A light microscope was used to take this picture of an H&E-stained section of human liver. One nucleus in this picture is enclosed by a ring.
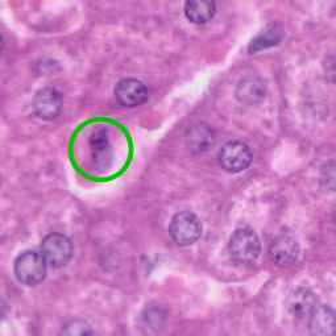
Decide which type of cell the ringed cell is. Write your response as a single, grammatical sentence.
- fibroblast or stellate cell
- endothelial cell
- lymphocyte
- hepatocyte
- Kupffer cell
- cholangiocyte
In short, the ringed cell on this section is a Kupffer cell.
